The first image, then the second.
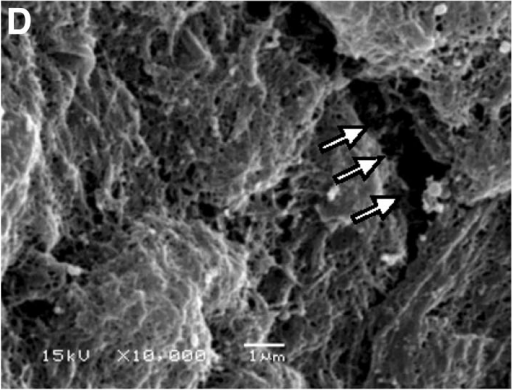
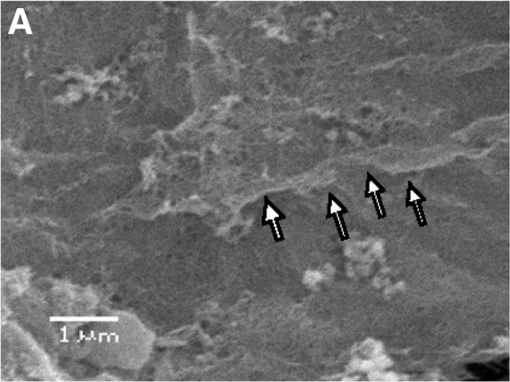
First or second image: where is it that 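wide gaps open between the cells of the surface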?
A: The first image.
